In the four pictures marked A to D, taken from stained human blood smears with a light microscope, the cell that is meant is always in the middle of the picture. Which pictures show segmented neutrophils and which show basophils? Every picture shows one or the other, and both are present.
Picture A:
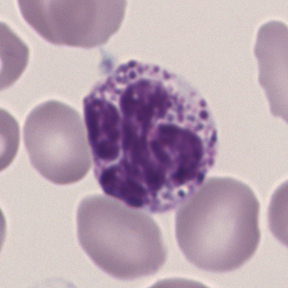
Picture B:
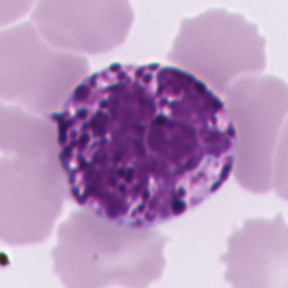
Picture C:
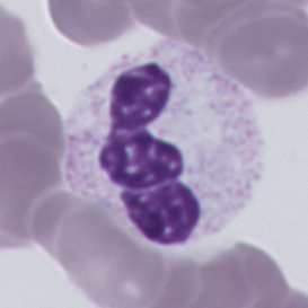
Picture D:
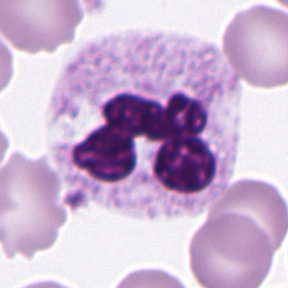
A: basophil
B: basophil
C: segmented neutrophil
D: segmented neutrophil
